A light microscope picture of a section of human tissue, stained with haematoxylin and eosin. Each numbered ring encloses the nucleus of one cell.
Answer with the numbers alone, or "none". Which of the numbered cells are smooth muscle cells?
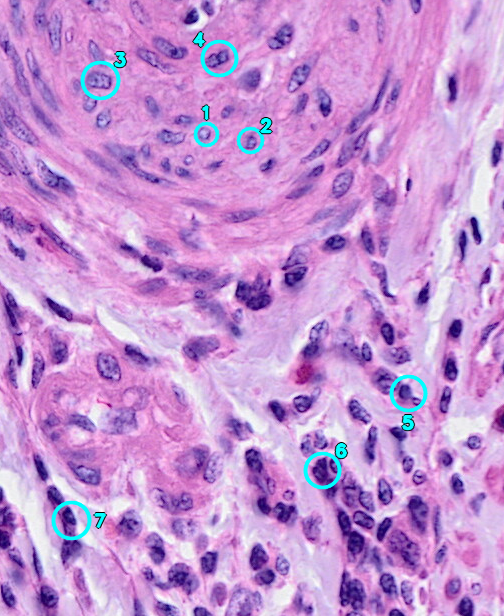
1, 2, 3, 4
